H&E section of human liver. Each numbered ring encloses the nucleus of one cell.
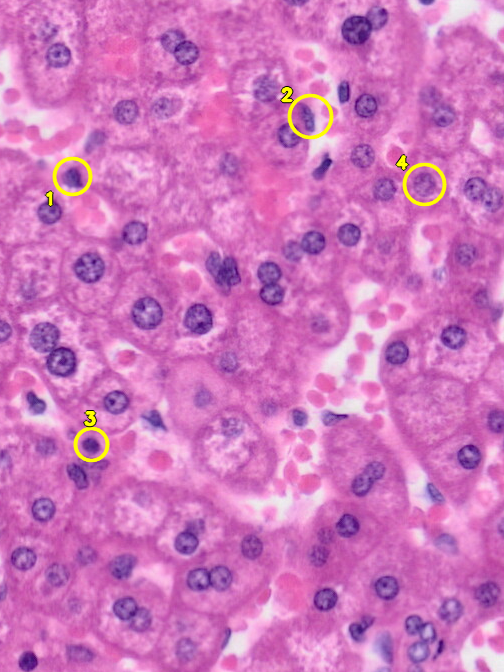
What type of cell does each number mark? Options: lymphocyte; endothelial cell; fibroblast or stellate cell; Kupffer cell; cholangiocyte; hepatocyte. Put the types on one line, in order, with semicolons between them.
fibroblast or stellate cell; endothelial cell; lymphocyte; hepatocyte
